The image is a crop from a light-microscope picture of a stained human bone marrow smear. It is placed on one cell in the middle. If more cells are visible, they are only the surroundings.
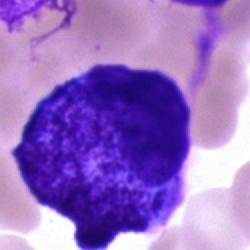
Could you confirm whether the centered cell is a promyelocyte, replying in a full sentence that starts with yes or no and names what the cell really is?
Yes, a promyelocyte is the cell positioned in the middle of the field.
